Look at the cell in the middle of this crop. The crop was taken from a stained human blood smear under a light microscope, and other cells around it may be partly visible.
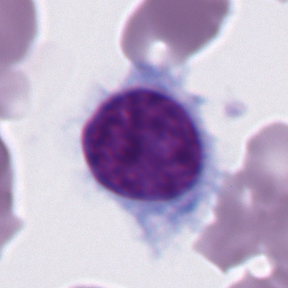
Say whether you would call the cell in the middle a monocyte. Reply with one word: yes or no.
no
